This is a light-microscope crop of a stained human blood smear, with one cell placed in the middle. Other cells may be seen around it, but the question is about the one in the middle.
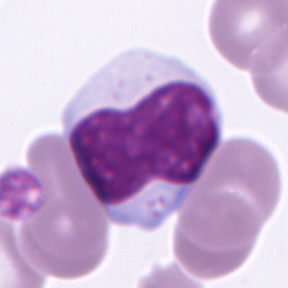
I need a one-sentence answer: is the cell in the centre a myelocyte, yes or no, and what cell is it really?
No, what the centre of the crop shows is a large granular lymphocyte, not a myelocyte.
